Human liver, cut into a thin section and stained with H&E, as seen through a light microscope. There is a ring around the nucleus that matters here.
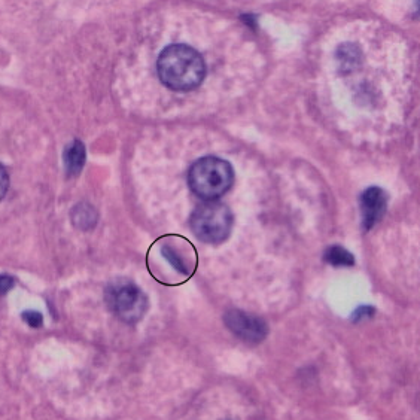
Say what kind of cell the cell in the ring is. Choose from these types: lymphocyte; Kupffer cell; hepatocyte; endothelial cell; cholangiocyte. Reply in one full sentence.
The cell in the ring is an endothelial cell.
